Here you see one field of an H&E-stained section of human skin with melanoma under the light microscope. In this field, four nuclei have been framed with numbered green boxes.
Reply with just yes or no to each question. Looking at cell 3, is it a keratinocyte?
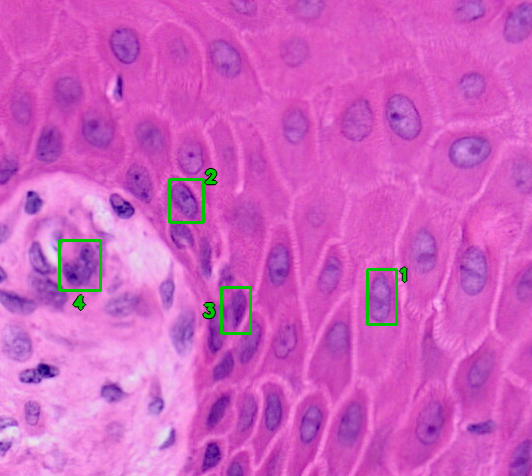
yes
